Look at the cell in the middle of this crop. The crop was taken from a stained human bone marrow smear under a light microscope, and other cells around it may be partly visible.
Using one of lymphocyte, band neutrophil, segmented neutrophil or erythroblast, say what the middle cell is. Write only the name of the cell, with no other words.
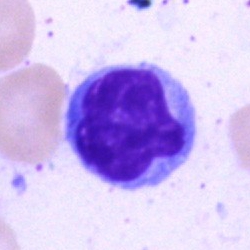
lymphocyte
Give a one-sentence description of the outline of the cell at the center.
No surface projections are present; the cell outline is smooth.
